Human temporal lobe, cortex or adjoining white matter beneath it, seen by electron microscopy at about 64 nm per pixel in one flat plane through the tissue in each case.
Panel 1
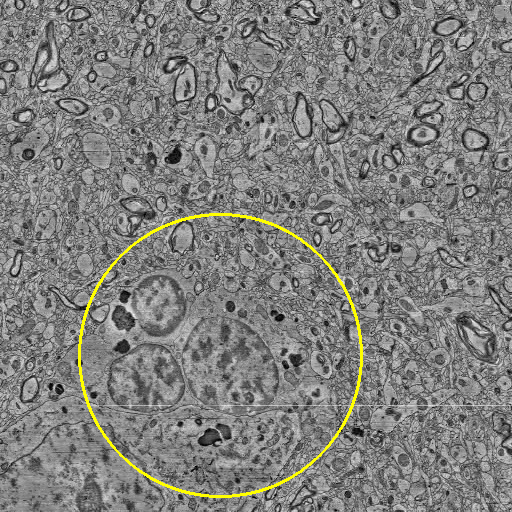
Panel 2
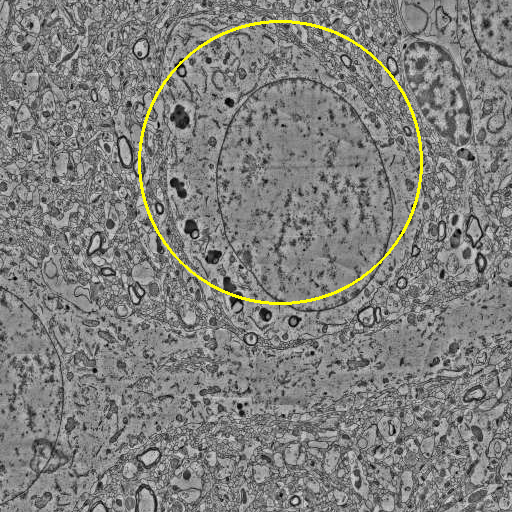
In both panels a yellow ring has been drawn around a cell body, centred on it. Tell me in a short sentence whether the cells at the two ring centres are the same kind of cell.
No, they are two kinds of cell.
